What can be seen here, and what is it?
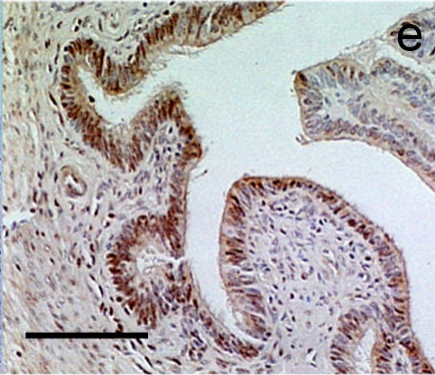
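Low mucosal folds lined by a columnar epithelium with strong brown staining, nuclei elongated and crowded. Beneath lies a cellular stroma with spindle-shaped cells and blue-counterstained nuclei, paler than the epithelium. At left, denser tissue of elongated, aligned cells shows light brown staining.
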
